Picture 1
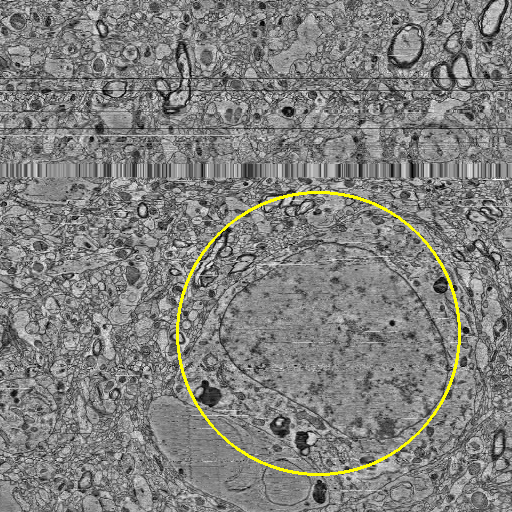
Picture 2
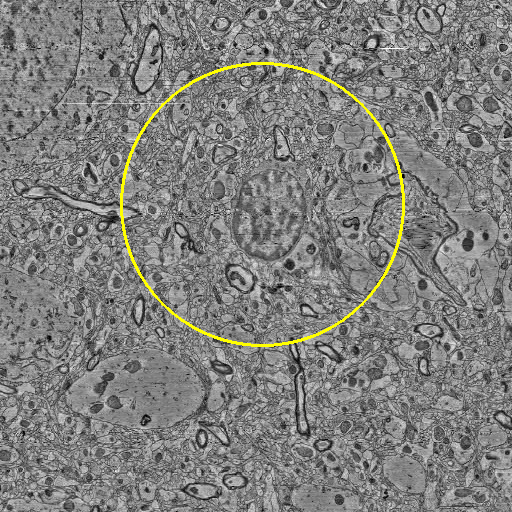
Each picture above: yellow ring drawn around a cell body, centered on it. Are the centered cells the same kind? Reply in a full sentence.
No, the two cells are two kinds of cell.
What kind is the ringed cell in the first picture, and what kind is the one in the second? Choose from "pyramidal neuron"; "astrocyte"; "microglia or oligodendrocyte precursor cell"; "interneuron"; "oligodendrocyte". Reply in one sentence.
The first cell is a pyramidal neuron; the second is an oligodendrocyte.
